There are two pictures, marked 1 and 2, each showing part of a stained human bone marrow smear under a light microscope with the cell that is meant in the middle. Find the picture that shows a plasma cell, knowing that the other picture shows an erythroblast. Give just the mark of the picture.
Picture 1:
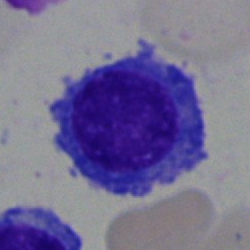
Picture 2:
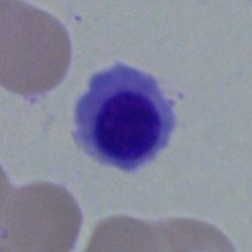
1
